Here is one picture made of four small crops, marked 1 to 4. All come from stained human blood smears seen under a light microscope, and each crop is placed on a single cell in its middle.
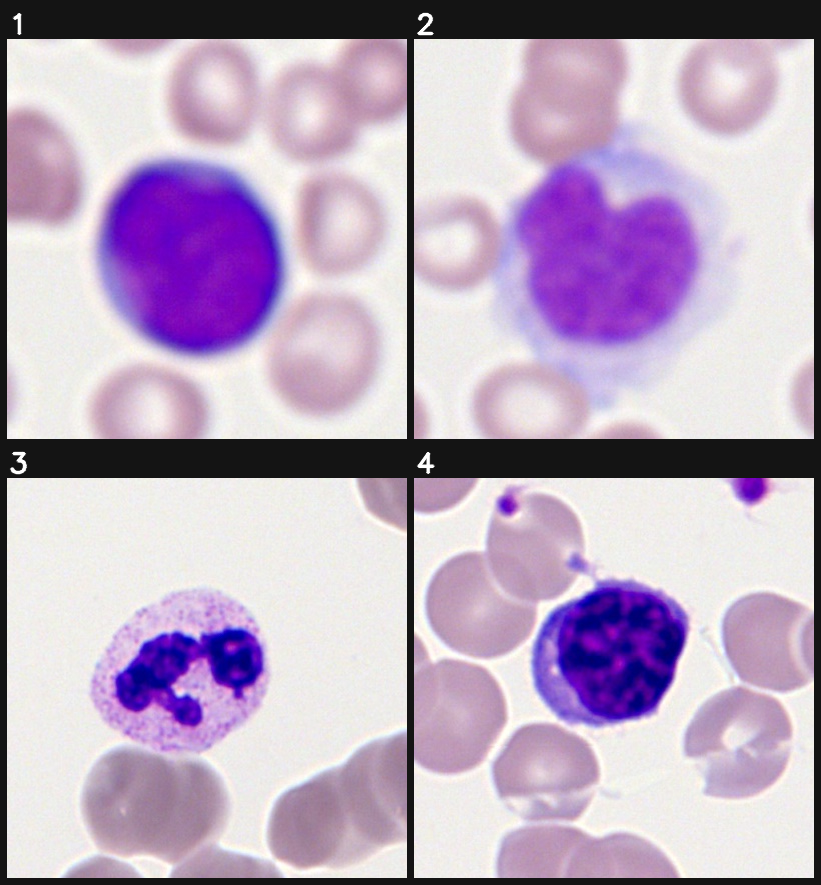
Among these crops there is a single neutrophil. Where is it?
3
